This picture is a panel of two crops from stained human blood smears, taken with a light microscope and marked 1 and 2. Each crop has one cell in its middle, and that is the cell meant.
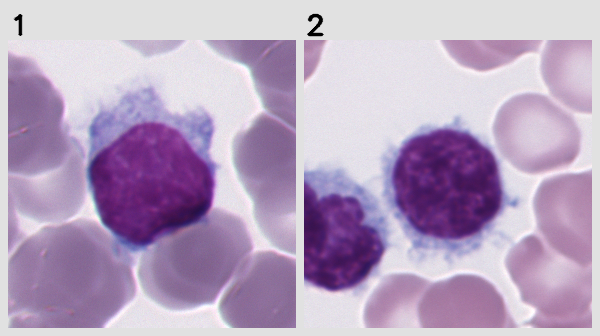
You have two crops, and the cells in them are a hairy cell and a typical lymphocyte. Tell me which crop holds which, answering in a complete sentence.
Crop 1 is a typical lymphocyte, and, separately, crop 2 is a hairy cell.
